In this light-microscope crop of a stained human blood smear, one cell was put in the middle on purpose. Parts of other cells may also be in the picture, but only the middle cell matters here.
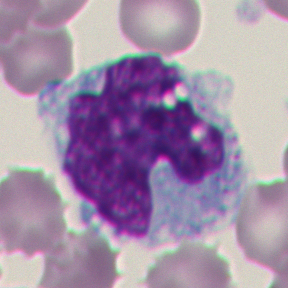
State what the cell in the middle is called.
monocyte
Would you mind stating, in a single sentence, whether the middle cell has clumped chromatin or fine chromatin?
Coarse clumps are absent, and the chromatin is fine throughout.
